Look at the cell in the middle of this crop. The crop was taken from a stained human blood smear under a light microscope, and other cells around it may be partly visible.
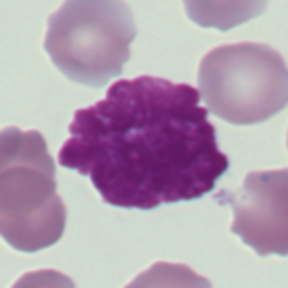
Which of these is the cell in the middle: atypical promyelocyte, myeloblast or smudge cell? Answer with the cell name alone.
smudge cell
